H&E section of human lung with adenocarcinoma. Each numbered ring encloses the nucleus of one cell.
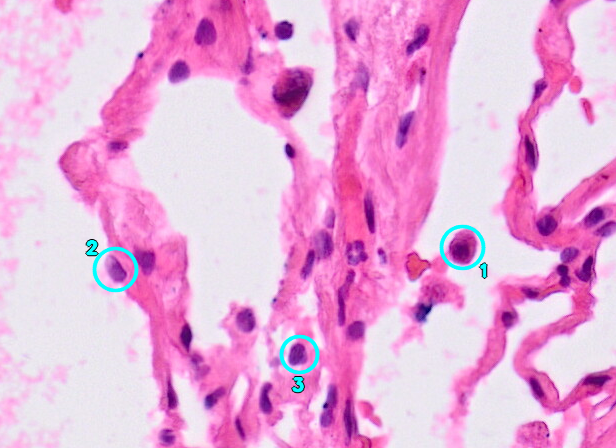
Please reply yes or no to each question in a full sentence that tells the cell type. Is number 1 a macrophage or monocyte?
Yes, it is a macrophage or monocyte that carries the number 1.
